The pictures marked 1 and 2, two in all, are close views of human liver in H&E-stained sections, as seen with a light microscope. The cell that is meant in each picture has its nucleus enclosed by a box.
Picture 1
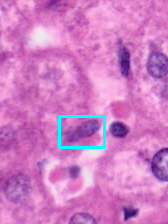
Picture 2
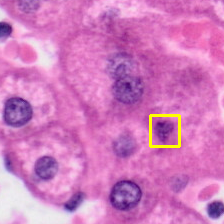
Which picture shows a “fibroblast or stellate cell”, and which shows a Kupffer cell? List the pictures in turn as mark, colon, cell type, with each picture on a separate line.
1: Kupffer cell
2: fibroblast or stellate cell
